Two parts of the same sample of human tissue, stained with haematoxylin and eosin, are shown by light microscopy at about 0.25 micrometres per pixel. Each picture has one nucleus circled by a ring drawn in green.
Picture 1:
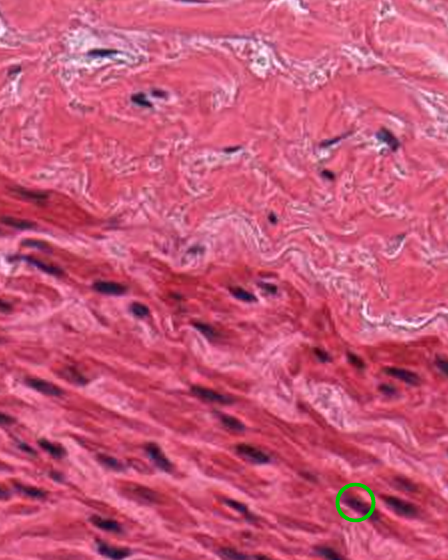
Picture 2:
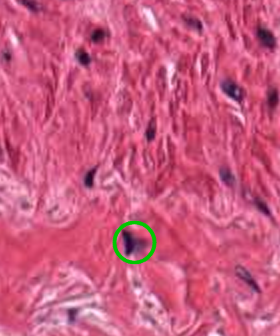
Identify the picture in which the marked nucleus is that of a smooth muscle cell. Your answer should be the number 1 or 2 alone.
1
